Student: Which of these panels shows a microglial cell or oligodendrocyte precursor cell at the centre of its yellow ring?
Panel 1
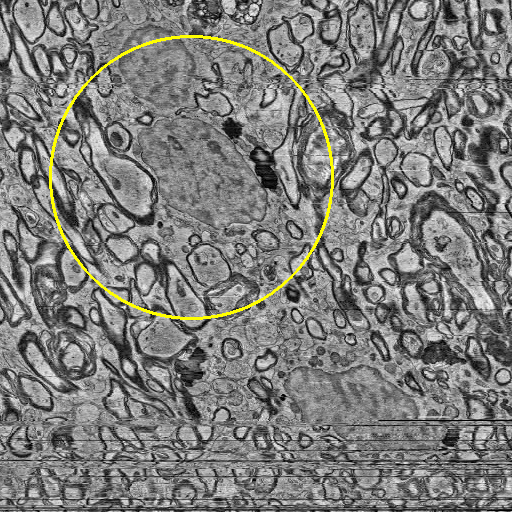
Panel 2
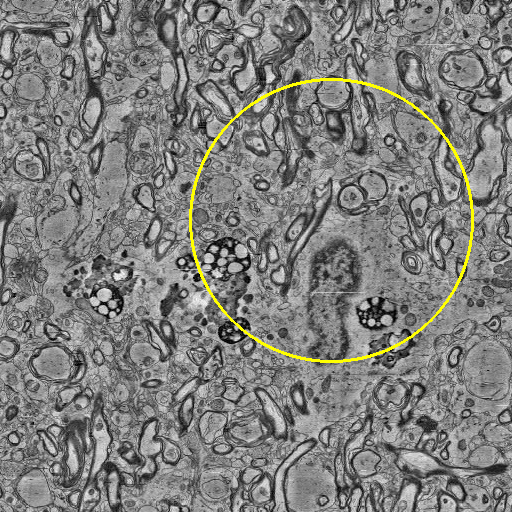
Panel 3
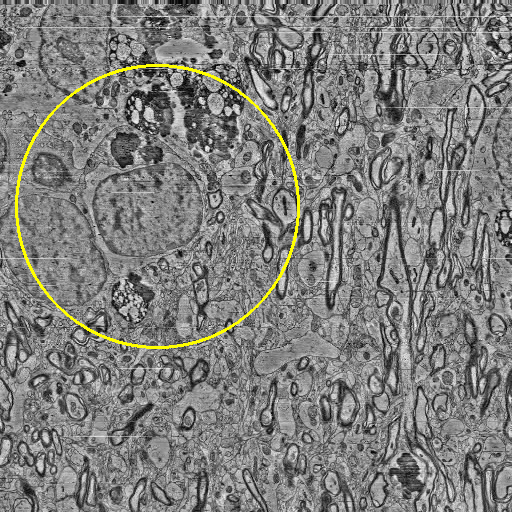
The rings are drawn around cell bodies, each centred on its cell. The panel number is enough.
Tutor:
3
